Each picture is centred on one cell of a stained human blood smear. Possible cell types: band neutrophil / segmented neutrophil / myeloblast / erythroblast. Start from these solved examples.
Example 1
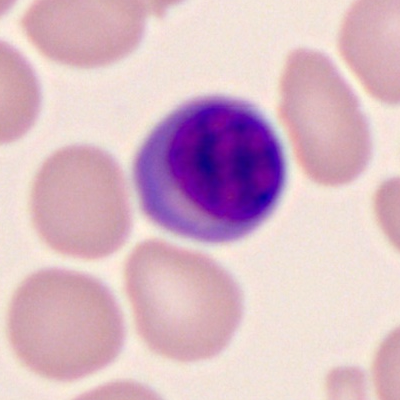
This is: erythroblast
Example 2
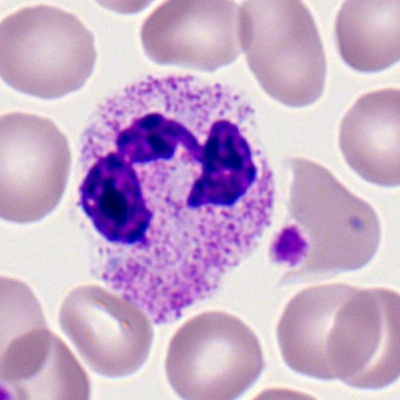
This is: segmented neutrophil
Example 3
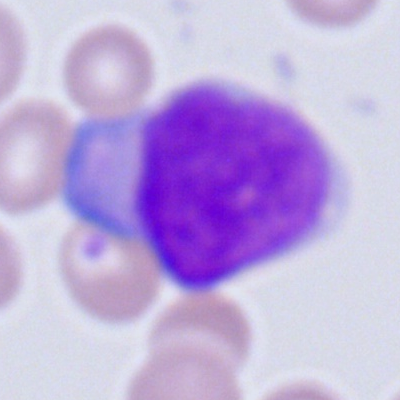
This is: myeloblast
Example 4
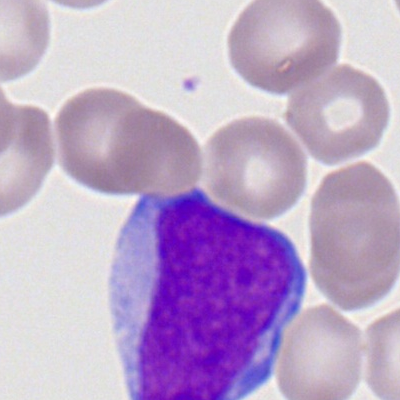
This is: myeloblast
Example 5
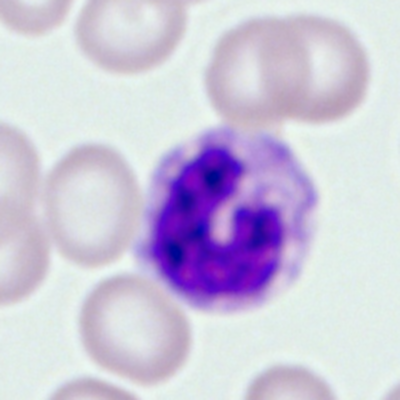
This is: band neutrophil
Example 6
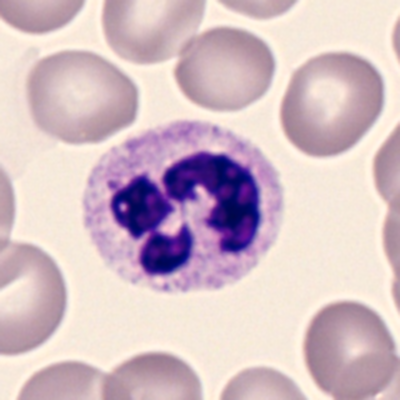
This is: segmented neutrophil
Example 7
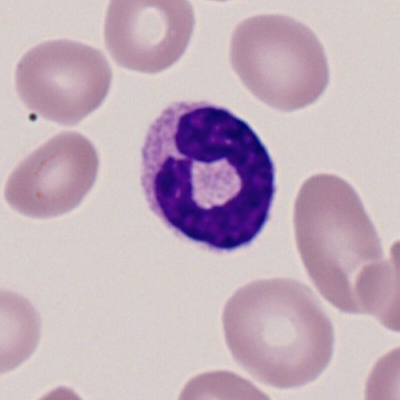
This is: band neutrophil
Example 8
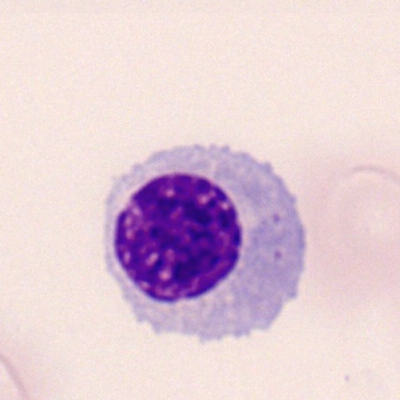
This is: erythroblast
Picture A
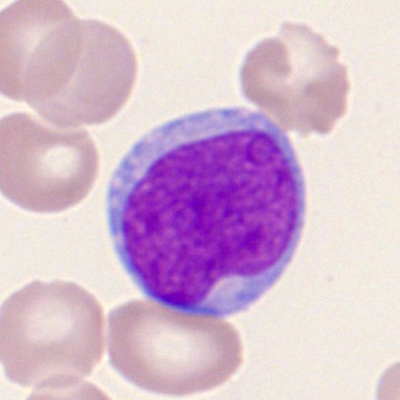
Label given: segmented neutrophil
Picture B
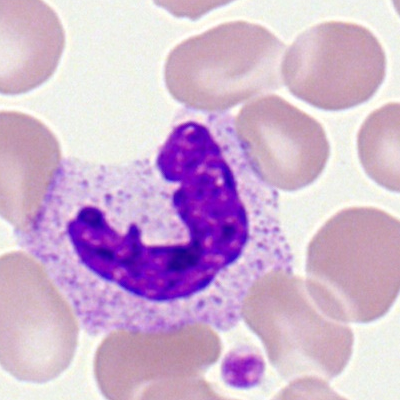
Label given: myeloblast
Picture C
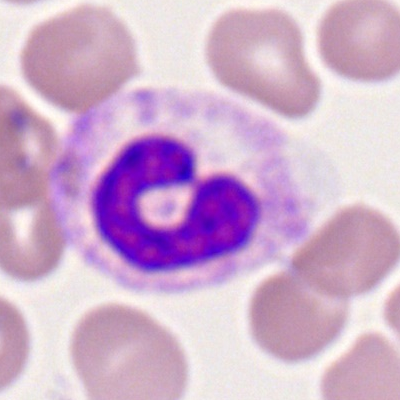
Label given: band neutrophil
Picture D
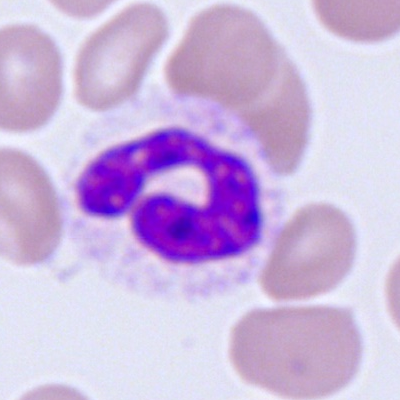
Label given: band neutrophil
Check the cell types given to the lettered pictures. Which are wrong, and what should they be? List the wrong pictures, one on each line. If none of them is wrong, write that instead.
A: change segmented neutrophil to myeloblast
B: change myeloblast to band neutrophil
